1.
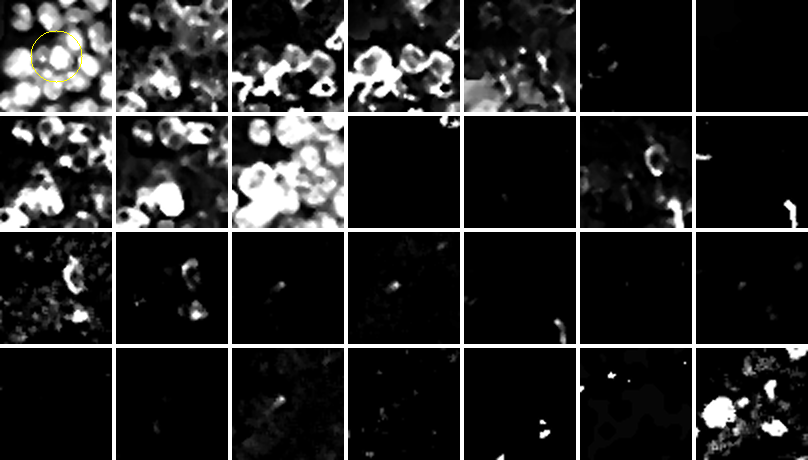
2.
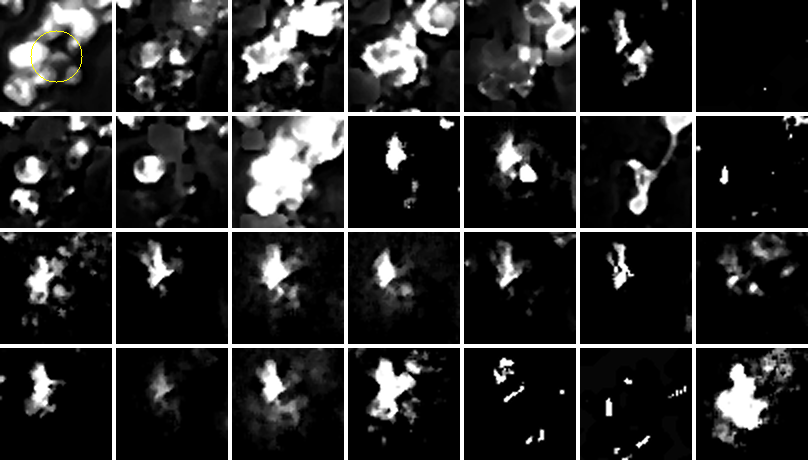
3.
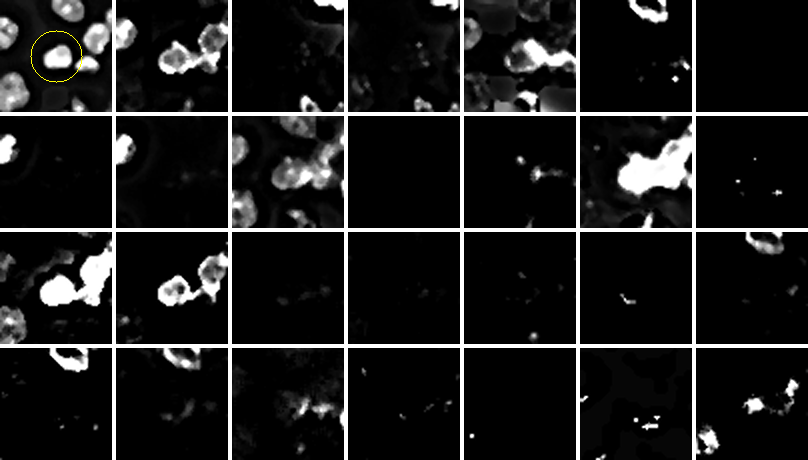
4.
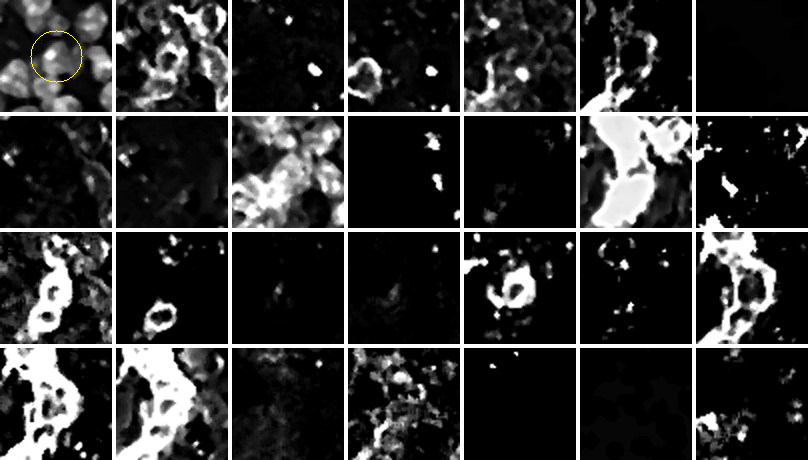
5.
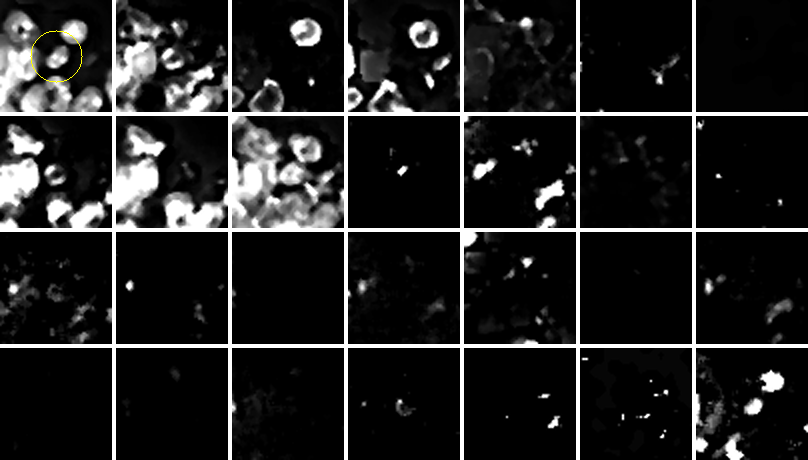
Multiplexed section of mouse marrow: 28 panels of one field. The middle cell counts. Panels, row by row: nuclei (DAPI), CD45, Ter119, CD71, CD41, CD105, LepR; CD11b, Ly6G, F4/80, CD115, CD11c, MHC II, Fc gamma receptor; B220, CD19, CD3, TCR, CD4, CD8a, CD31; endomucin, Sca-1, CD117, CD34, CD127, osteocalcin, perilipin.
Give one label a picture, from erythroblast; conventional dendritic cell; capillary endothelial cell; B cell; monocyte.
(1) erythroblast
(2) conventional dendritic cell
(3) B cell
(4) capillary endothelial cell
(5) monocyte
